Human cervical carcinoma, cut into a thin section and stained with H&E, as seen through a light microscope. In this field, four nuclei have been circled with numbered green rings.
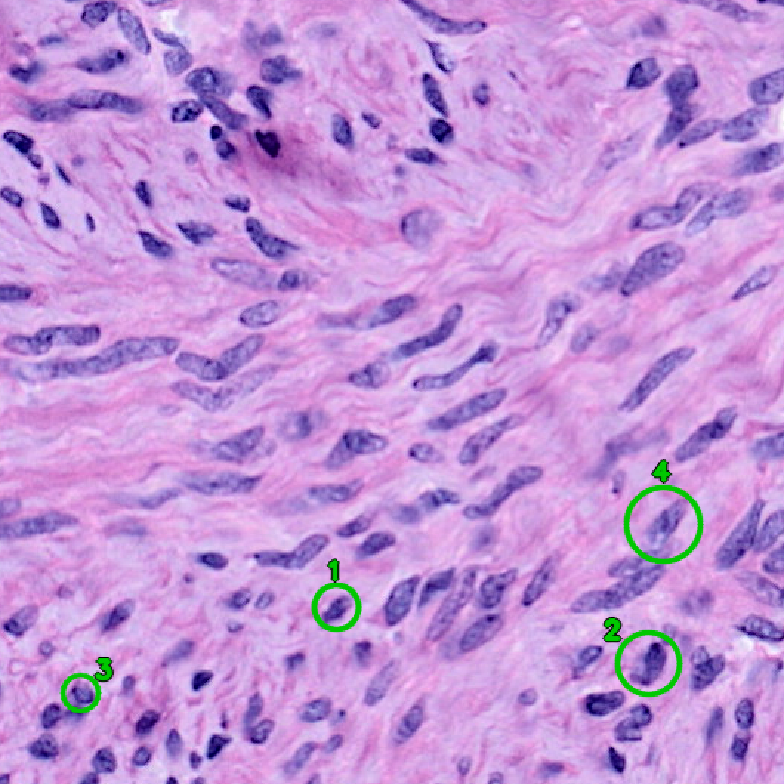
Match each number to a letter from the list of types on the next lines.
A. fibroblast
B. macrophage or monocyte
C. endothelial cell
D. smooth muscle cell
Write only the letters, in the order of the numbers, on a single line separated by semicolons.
D; A; D; D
